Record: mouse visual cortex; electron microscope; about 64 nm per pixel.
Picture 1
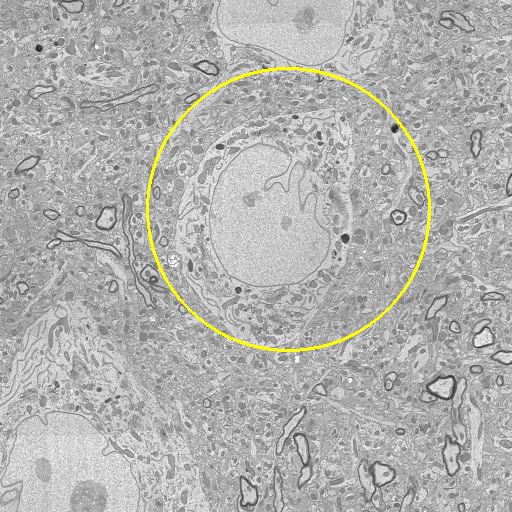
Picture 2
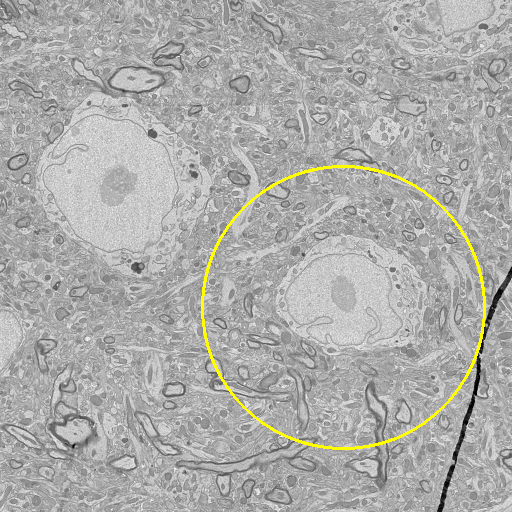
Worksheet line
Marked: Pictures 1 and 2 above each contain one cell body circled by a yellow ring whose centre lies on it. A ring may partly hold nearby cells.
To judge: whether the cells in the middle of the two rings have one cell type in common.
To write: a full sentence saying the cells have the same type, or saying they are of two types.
The cells in the middle of the rings in Picture 1 and Picture 2 have the same type.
